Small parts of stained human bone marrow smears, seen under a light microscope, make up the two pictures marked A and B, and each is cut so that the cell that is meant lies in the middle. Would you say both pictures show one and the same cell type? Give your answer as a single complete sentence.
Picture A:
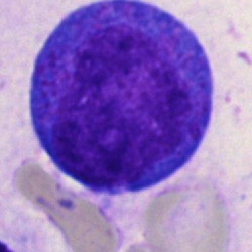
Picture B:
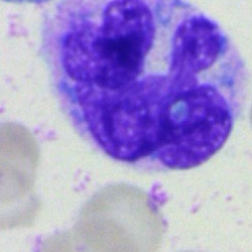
No, picture A shows a promyelocyte and picture B shows a monocyte.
